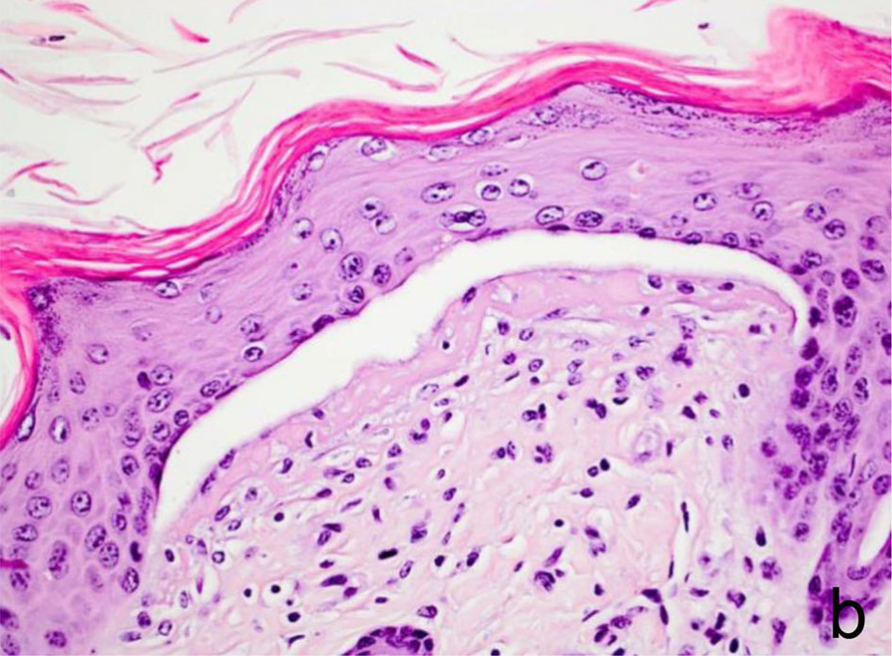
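This is skin with a subepidermal blister, seen as a clear, empty cleft between the epidermis and the superficial dermis. Above the cleft lies the epidermis, several layers of keratinocytes with round to oval pale nuclei and pink cytoplasm, covered by a bright pink, layered keratin surface. The lower edge of the epidermis runs along the cleft as a thin band, and at the right side the basal cells are crowded with darker nuclei. Below the cleft the superficial dermis is loose, pale pink connective tissue with scattered spindle-shaped and small round dark nuclei.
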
